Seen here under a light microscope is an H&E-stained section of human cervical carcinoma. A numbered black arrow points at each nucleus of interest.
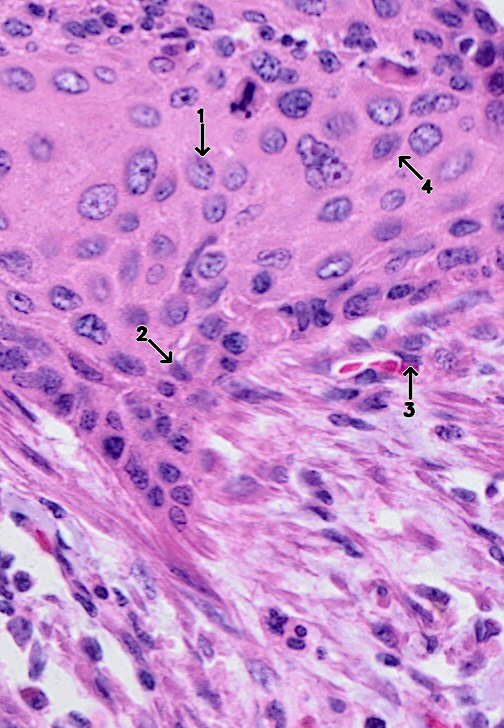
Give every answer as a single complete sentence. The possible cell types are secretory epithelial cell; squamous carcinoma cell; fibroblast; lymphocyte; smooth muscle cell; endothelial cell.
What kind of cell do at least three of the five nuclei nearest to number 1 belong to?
Squamous carcinoma cells account for more than half of the five nuclei nearest to number 1.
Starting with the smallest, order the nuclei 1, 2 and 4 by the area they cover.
Smallest first, the nuclei run 2, 4, 1.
